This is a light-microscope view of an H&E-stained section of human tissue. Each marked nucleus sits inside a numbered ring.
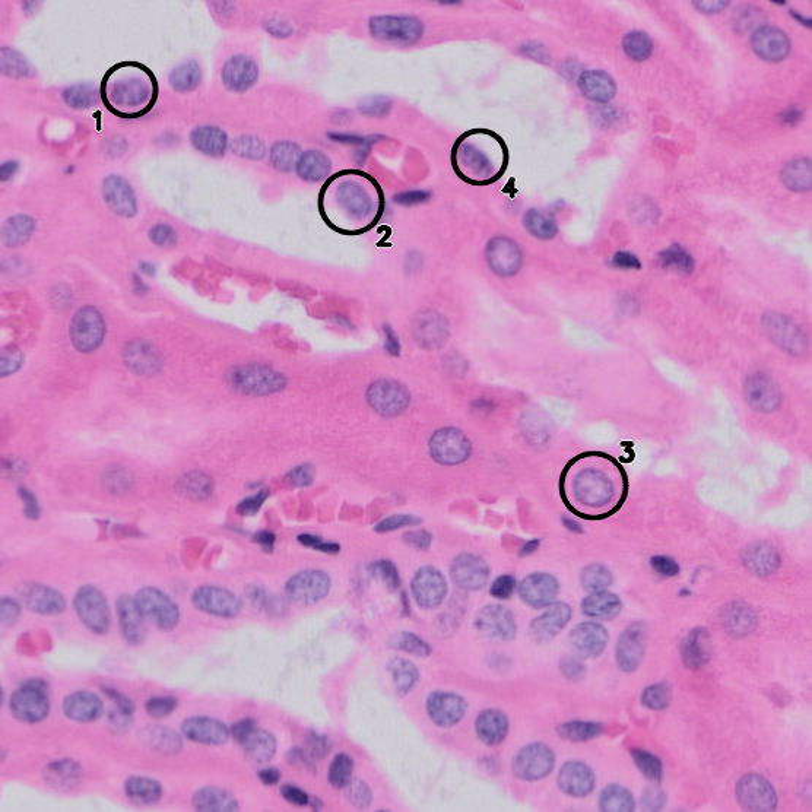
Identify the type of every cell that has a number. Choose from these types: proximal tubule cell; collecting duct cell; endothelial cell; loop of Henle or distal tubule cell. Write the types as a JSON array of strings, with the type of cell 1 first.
["loop of Henle or distal tubule cell", "collecting duct cell", "proximal tubule cell", "loop of Henle or distal tubule cell"]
